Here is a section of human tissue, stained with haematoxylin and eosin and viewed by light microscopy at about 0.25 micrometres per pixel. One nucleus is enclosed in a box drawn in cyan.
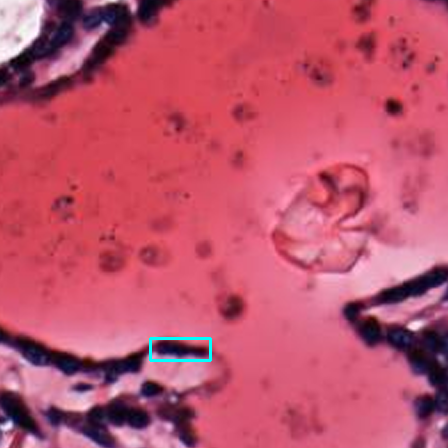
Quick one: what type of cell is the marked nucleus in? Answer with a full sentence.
What the marked nucleus belongs to is a thyroid follicular cell.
